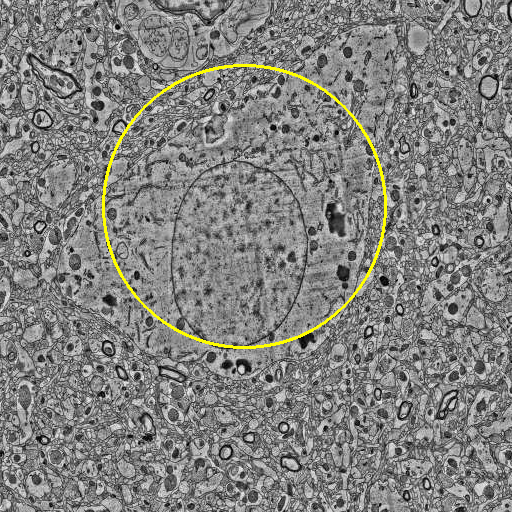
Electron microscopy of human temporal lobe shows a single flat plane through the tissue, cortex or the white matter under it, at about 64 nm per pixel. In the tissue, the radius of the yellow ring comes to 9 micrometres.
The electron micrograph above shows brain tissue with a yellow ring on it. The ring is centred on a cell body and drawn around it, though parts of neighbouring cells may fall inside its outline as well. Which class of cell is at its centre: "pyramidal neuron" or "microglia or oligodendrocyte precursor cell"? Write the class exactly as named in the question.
pyramidal neuron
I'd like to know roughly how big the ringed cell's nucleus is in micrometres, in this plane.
The ringed cell's nucleus measures approximately 12 by 9 micrometres in this plane.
